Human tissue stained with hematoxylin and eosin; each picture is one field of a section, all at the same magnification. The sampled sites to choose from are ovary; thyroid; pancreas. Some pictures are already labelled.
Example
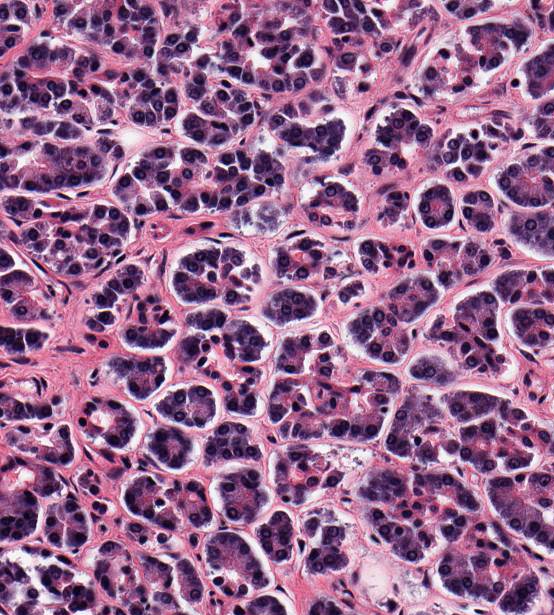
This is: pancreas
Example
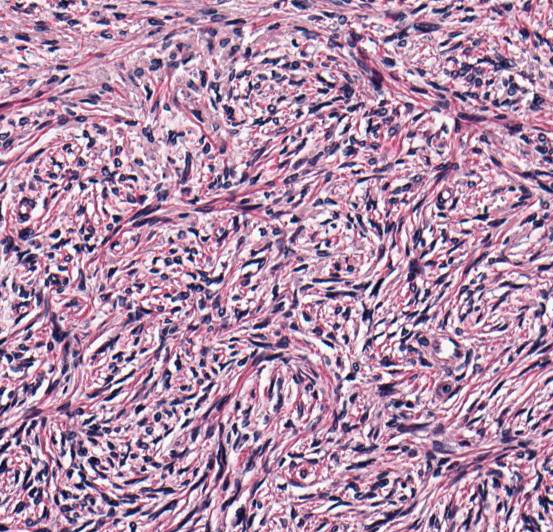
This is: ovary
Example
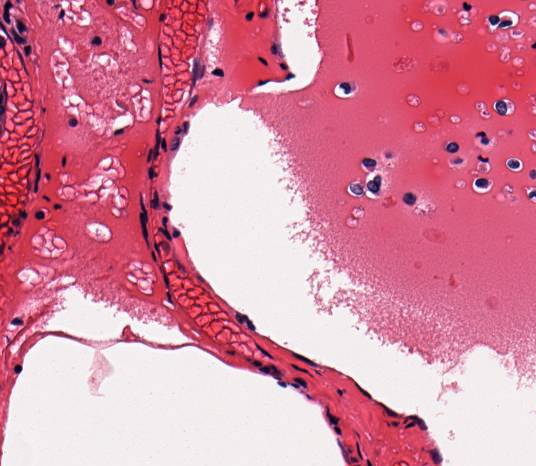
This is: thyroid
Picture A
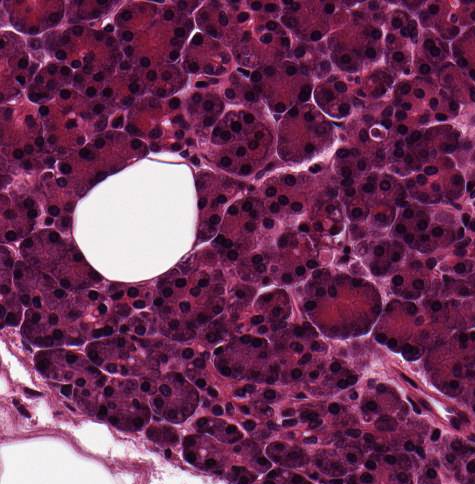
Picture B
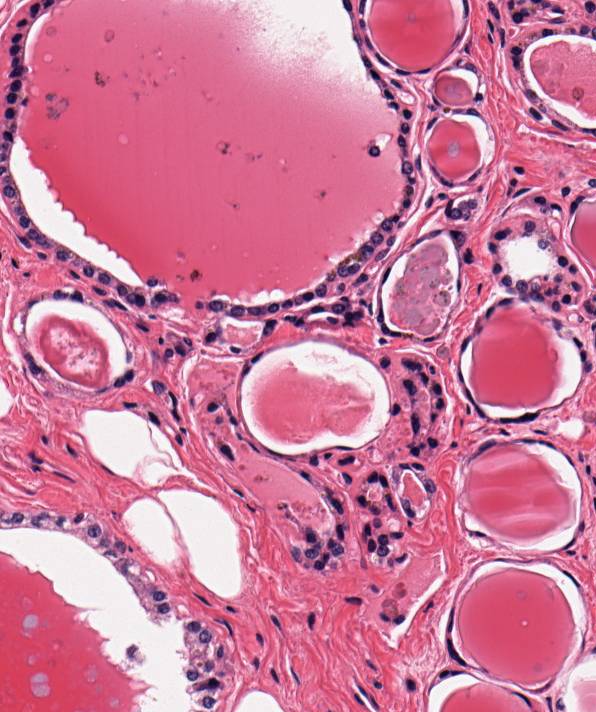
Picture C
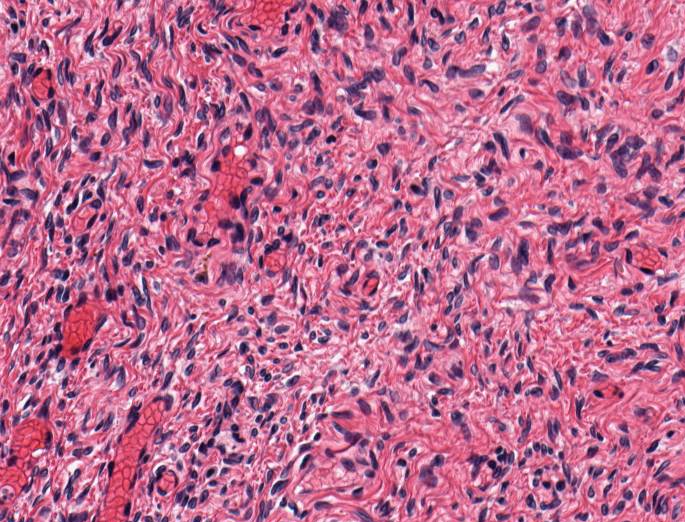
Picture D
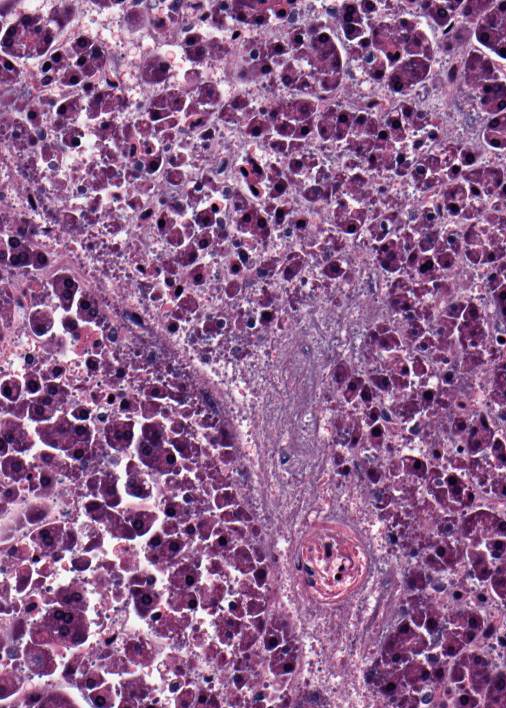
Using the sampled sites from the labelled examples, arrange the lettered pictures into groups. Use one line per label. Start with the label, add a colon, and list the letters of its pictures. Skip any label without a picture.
ovary: C
thyroid: B
pancreas: A, D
